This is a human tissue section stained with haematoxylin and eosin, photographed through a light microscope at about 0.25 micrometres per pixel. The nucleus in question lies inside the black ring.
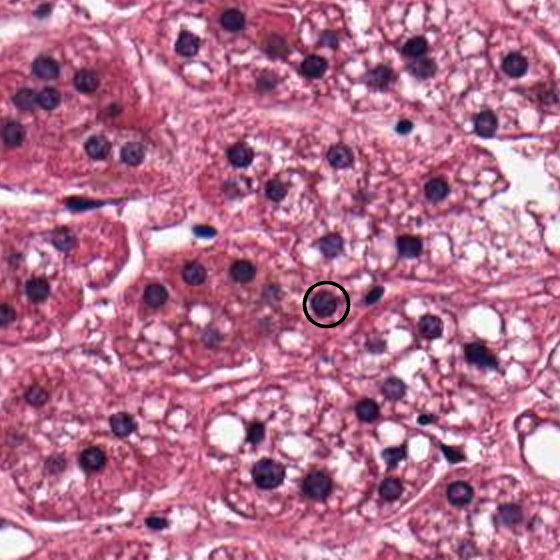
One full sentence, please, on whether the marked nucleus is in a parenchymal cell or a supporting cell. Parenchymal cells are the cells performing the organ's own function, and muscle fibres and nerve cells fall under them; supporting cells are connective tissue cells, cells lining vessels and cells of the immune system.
The nucleus marked here belongs to a parenchymal cell, namely an adrenal cortical cell.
